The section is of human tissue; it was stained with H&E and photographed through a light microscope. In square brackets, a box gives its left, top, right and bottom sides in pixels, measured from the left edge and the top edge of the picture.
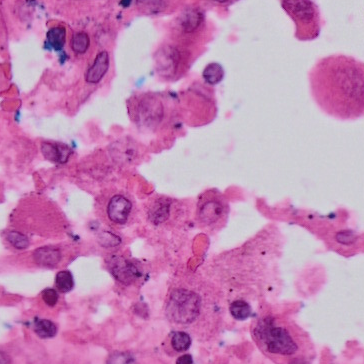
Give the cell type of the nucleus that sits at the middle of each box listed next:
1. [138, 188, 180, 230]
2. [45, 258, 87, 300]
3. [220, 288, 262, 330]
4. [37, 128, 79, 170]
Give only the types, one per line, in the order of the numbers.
macrophage or monocyte
lymphocyte
lymphocyte
macrophage or monocyte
